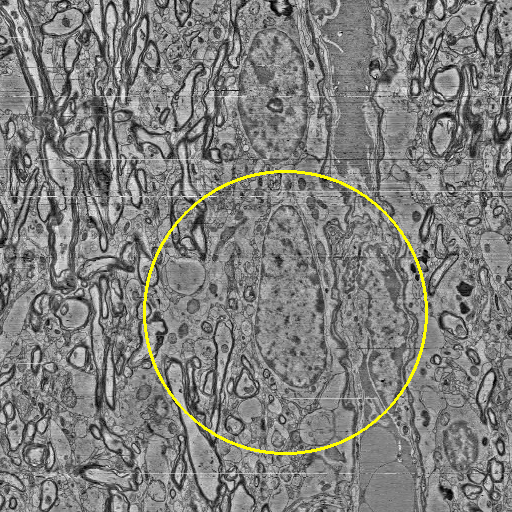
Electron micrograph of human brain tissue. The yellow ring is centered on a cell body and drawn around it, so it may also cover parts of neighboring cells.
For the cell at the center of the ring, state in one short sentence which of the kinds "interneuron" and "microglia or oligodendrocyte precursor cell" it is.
This ring is centered on a microglial cell or oligodendrocyte precursor cell.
